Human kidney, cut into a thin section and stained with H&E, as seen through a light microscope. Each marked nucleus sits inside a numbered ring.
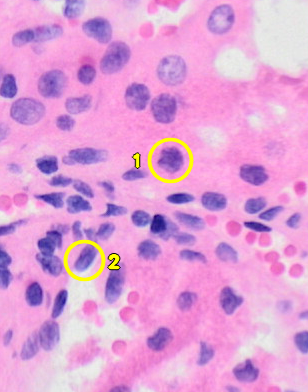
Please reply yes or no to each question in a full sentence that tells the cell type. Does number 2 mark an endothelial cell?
Yes, the cell distinguished by number 2 is an endothelial cell.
